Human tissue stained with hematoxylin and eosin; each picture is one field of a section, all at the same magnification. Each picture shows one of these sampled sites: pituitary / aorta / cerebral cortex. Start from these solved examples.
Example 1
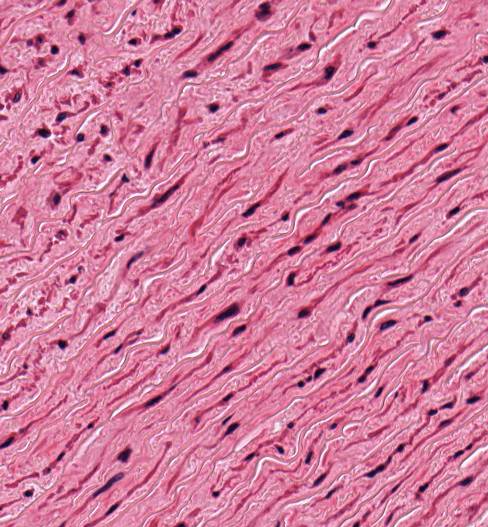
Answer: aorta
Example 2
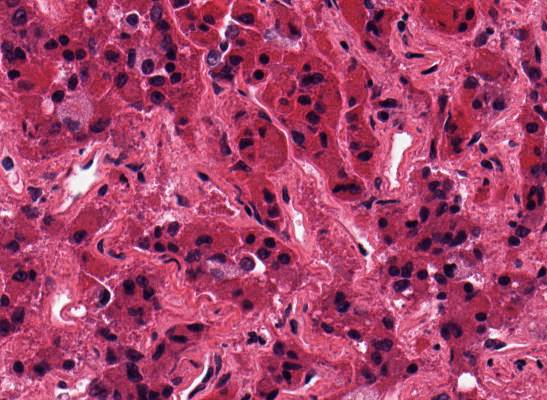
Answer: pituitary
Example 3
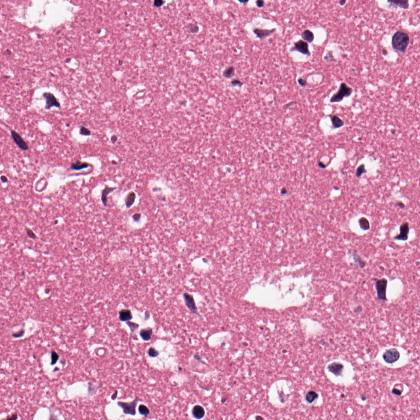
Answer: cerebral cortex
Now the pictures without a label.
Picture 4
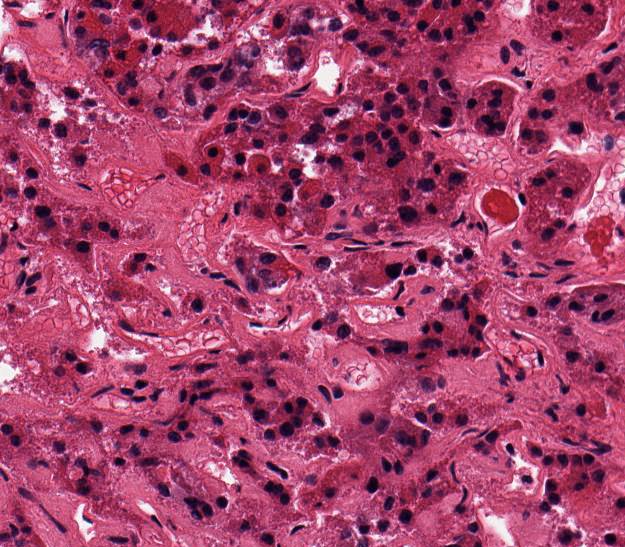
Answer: pituitary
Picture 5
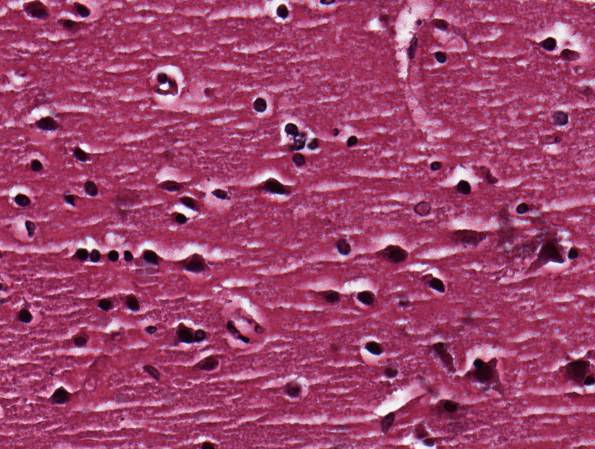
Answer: cerebral cortex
